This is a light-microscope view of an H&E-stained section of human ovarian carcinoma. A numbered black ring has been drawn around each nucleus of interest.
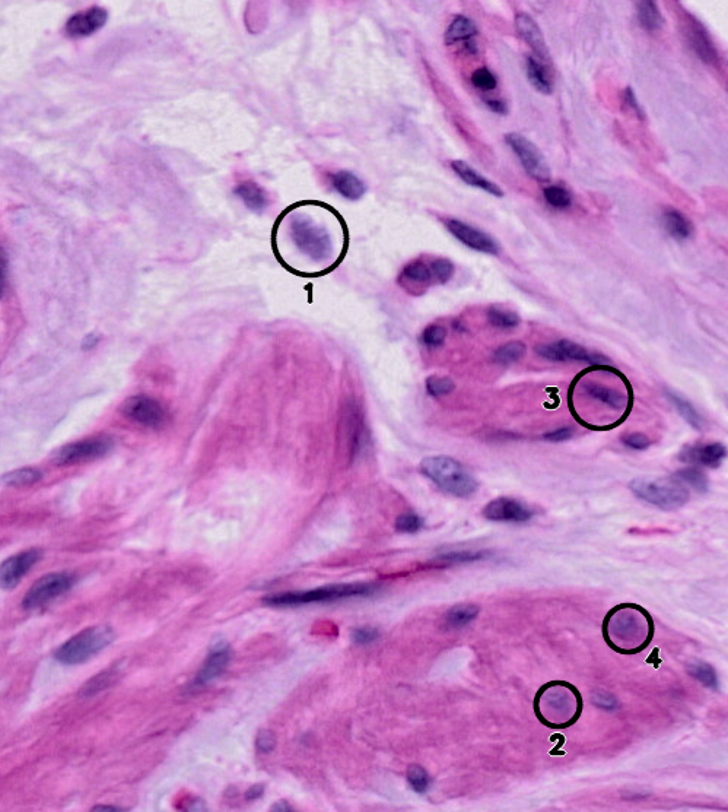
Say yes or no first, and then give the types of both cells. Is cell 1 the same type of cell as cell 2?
No, cell 1 is a fibroblast and cell 2 is a smooth muscle cell.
